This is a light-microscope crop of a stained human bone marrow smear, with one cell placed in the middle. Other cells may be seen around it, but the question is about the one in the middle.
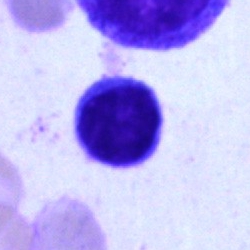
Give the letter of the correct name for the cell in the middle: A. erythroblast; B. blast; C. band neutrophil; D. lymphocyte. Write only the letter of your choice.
D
